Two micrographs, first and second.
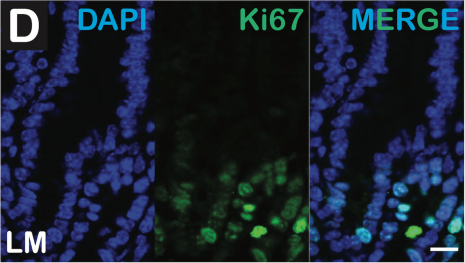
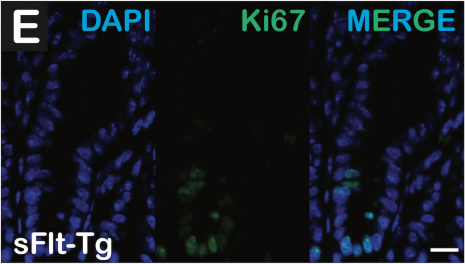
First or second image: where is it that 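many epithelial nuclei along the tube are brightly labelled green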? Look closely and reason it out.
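Second image: only a few faint green nuclei, mostly at the bottom. First image: numerous bright green nuclei along the lower part of the tube. On this evidence: the first image.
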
